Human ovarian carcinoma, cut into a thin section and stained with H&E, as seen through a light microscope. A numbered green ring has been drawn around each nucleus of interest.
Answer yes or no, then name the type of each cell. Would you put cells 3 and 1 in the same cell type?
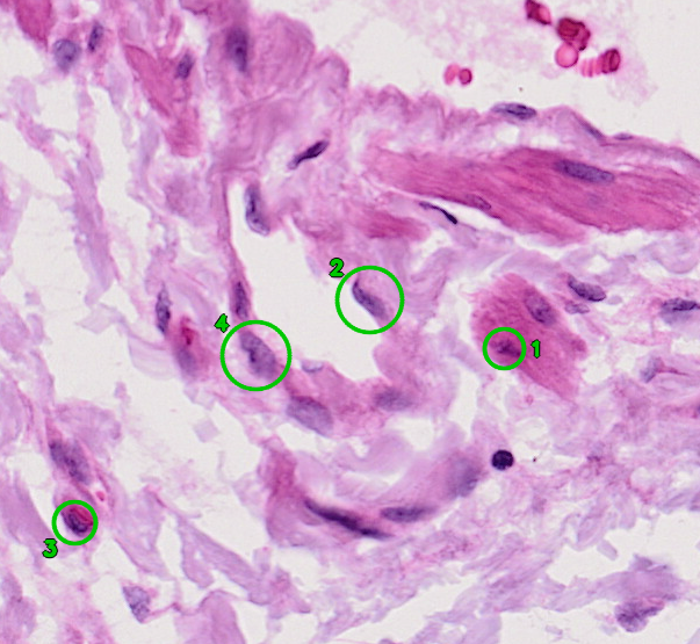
No, in contrast to cell 3, which is an endothelial cell, cell 1 is a smooth muscle cell.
